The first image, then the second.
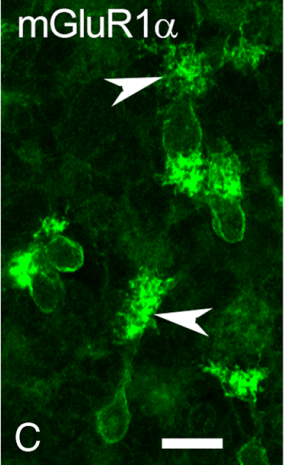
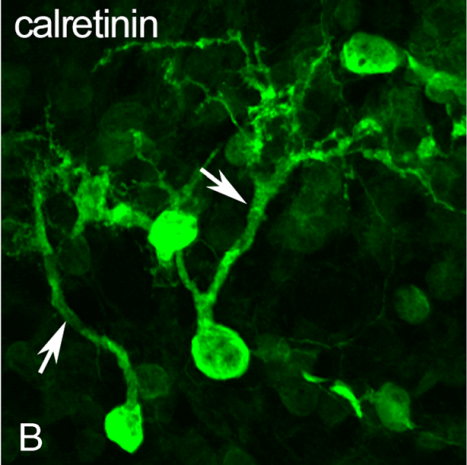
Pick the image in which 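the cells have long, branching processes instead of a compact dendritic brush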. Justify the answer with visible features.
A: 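First image: labelled cells bear short, compact, bushy tufts of fine fibres next to their bodies. Second image: labelled cells send out long, thin, branching processes that cross much of the field. The answer: the second image.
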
